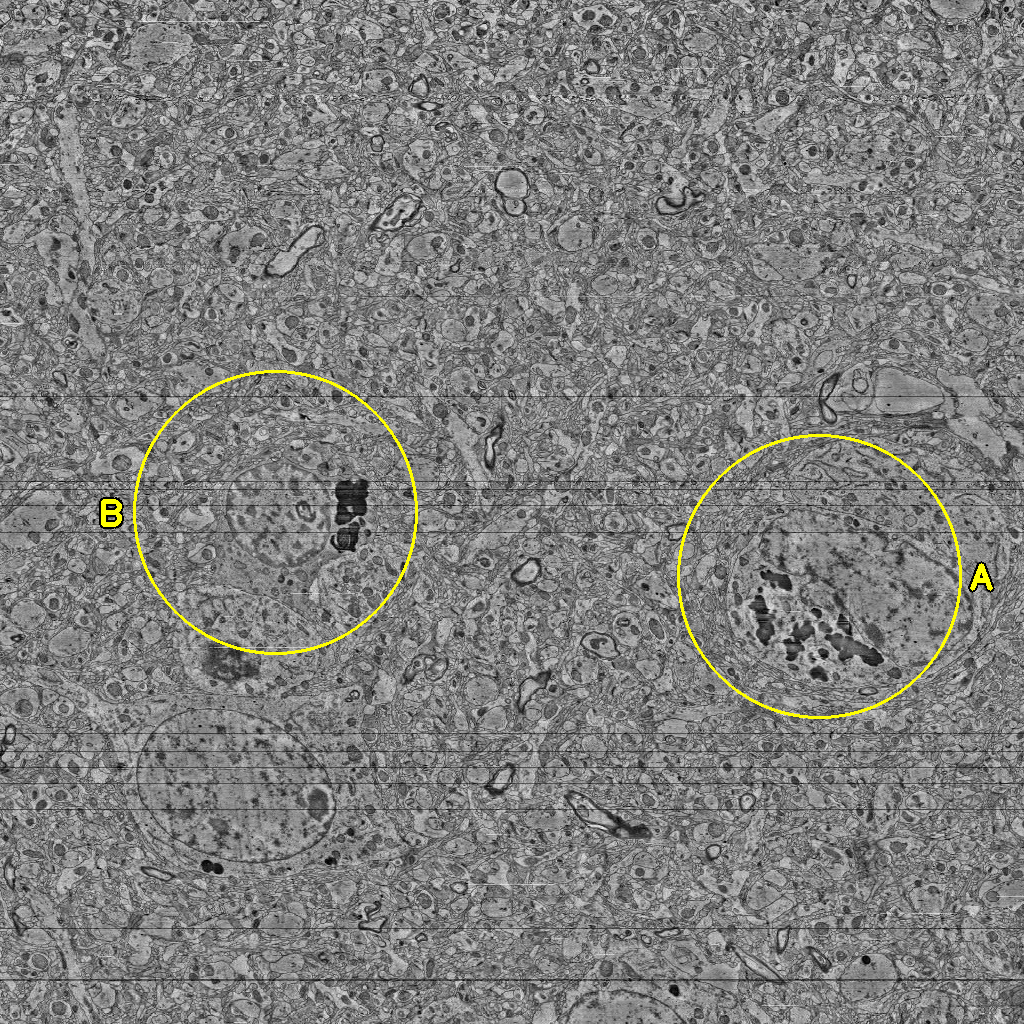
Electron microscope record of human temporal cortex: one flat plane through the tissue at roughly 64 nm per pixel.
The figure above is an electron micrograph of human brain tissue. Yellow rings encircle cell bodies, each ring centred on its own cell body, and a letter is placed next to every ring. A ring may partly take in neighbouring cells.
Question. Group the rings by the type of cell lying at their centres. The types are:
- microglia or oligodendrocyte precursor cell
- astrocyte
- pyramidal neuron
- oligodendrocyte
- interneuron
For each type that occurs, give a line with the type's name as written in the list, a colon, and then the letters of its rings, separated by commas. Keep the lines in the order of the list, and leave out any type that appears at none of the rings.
oligodendrocyte: B
interneuron: A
